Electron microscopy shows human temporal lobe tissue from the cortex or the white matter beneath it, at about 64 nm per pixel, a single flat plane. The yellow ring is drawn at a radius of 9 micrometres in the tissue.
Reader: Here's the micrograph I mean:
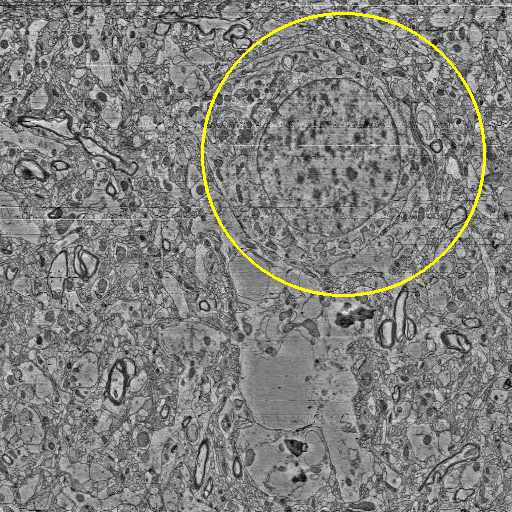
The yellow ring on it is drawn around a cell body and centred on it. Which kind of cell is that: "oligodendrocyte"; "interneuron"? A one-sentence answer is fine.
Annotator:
The ring is centred on an interneuron.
